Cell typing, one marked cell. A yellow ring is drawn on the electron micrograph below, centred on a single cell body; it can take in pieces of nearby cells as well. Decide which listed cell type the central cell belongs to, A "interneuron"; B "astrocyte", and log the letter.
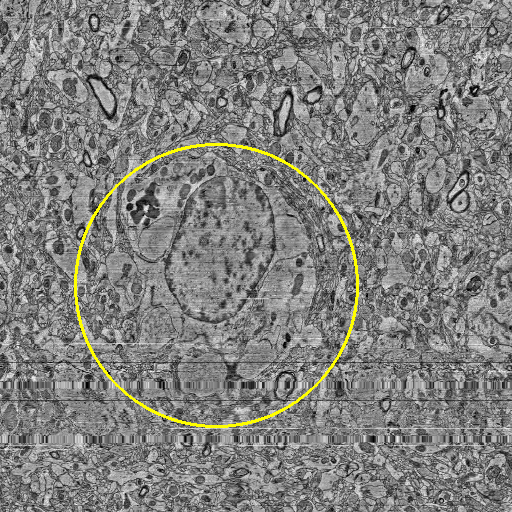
B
